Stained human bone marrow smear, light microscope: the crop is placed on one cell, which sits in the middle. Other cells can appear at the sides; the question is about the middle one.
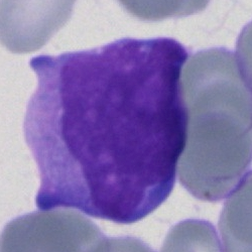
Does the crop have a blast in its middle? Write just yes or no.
yes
